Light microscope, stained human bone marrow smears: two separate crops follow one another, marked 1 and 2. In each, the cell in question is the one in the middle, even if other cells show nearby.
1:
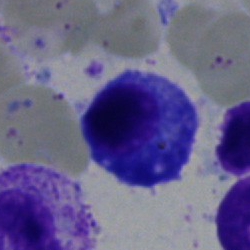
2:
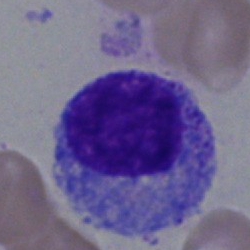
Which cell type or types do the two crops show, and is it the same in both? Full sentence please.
No, crop 1 has a plasma cell in the middle, and crop 2 has a myelocyte.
